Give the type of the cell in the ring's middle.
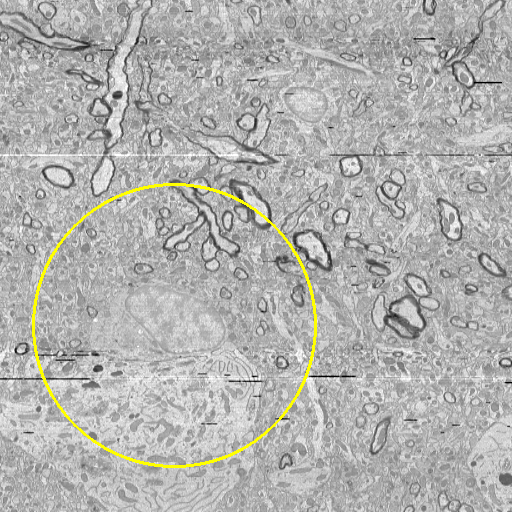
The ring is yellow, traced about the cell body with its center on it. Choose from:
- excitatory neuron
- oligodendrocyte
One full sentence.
Here, an oligodendrocyte is the cell lying at the center of the yellow ring.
